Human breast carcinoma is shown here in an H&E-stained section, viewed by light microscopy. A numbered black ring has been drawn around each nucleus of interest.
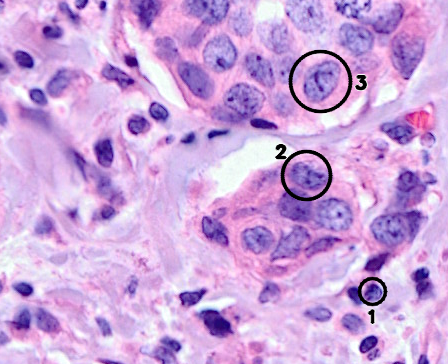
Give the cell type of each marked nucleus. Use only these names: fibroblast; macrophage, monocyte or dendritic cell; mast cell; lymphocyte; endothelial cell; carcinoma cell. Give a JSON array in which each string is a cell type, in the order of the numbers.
["lymphocyte", "carcinoma cell", "carcinoma cell"]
